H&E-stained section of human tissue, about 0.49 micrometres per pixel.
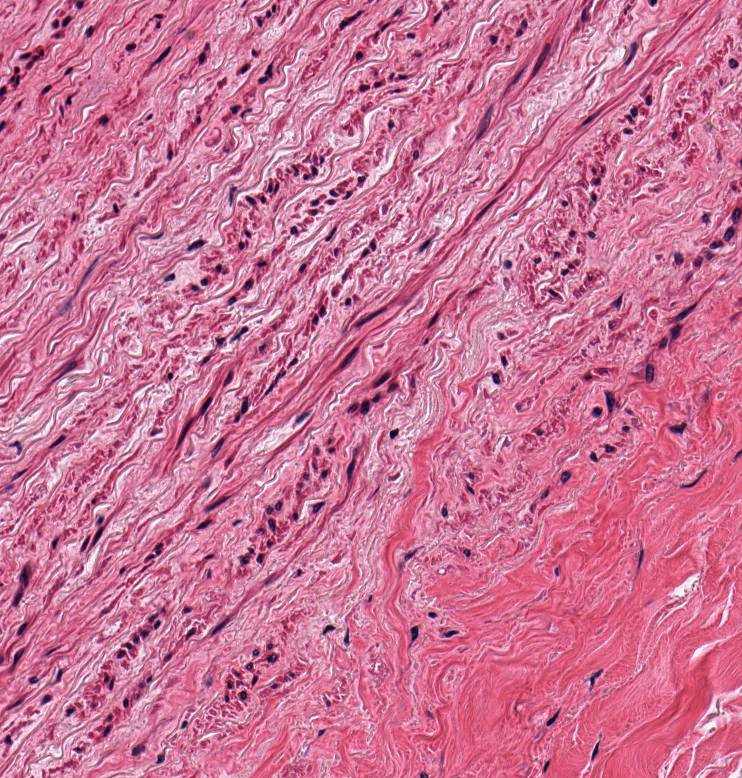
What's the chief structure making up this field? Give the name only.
tunica media of an artery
